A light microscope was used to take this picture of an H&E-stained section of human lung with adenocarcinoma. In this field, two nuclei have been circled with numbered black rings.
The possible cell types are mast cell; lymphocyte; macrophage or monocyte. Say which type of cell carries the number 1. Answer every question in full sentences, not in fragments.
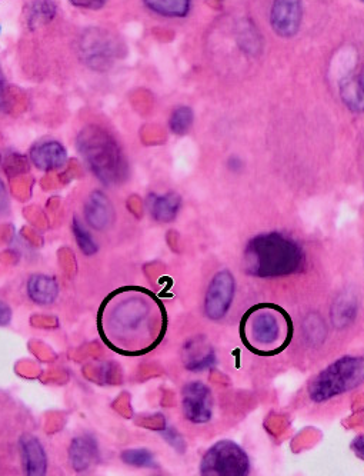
The cell with the number 1 is a lymphocyte.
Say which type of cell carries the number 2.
The cell that goes by number 2 is a macrophage or monocyte.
